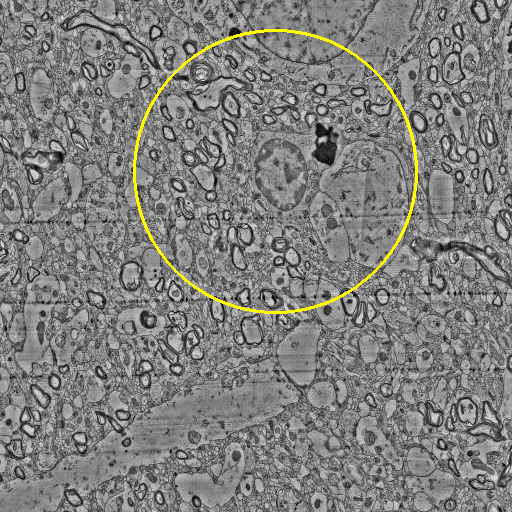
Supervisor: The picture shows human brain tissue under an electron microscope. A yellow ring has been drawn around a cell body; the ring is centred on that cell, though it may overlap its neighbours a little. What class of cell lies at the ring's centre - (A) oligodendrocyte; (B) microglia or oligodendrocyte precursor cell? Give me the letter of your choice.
A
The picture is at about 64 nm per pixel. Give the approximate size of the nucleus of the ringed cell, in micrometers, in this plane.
About 4 micrometres by about 3 micrometres in this plane.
